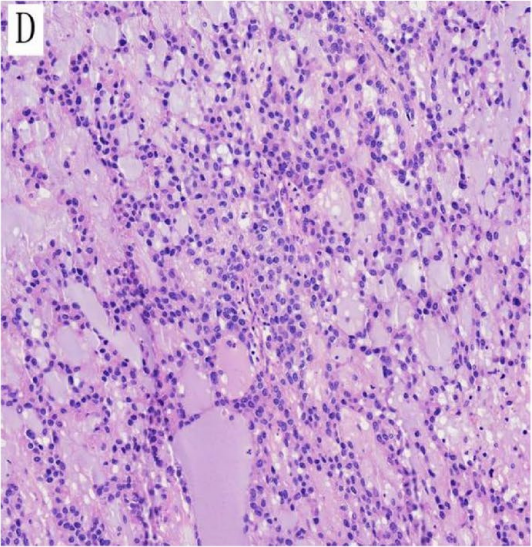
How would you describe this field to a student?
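This shows sheets and cords of small round tumor cells with uniform dark round nuclei. Their cytoplasm ranges from pink to pale and clear-looking. Between the cells lie pale, glassy pink pools and streaks of stroma, which give the field a loose, watery look.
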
